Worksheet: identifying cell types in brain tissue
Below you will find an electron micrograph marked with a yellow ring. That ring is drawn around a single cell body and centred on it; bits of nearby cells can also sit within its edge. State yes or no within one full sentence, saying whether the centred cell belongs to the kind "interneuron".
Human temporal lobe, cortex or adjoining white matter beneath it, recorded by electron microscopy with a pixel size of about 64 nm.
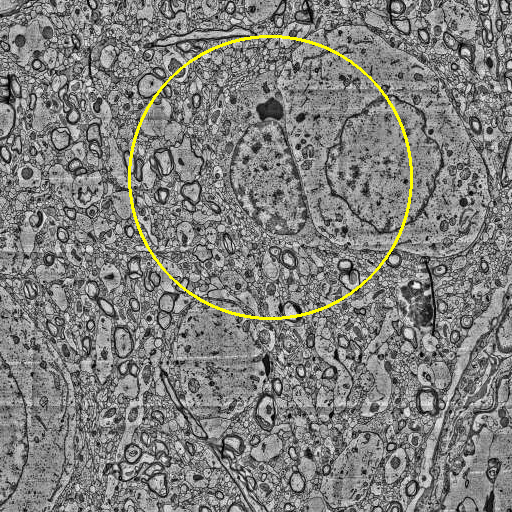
No, the cell sitting at the centre of the yellow ring in this picture is of another kind.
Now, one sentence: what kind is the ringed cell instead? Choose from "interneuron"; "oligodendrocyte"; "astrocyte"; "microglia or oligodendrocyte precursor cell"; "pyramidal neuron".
The cell marked by the ring is an oligodendrocyte.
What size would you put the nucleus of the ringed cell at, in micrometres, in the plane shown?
In this plane the nucleus is clearly longer than it is wide, at approximately 7 by 4 micrometres.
